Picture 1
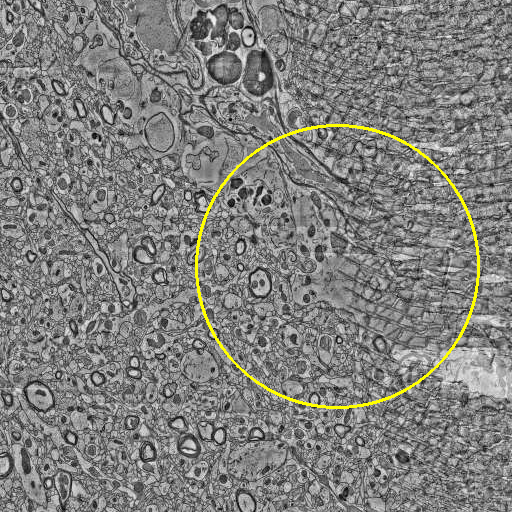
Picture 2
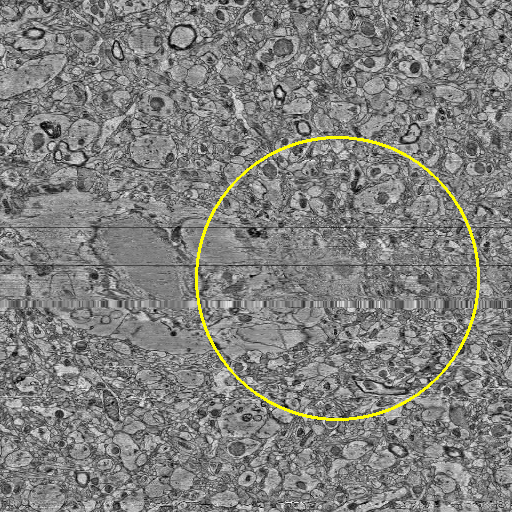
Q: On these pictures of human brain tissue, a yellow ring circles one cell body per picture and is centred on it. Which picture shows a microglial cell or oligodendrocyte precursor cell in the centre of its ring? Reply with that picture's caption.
Picture 1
